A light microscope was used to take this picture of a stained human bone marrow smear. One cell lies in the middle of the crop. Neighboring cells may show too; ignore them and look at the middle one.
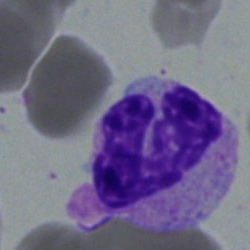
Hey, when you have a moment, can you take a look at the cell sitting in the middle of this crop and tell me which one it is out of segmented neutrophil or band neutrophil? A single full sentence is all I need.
In this crop, the cell at the very middle is a band neutrophil.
